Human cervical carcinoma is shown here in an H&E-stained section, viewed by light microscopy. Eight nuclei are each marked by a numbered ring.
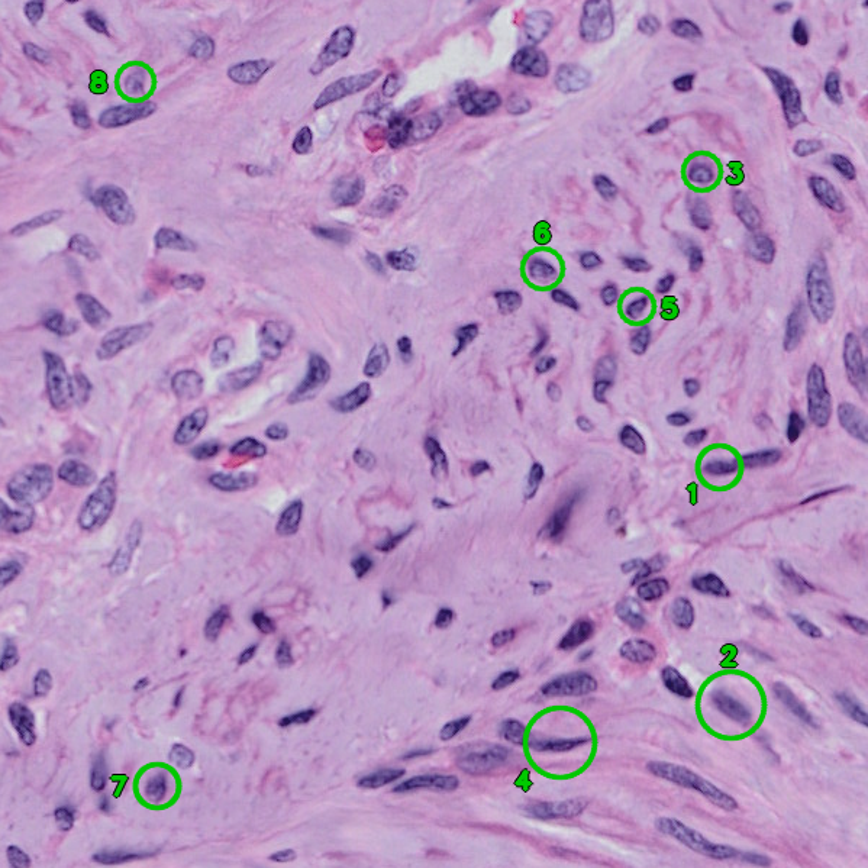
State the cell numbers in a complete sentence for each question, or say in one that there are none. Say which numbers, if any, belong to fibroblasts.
The cells numbered 1, 2 and 4 are identified as fibroblasts.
